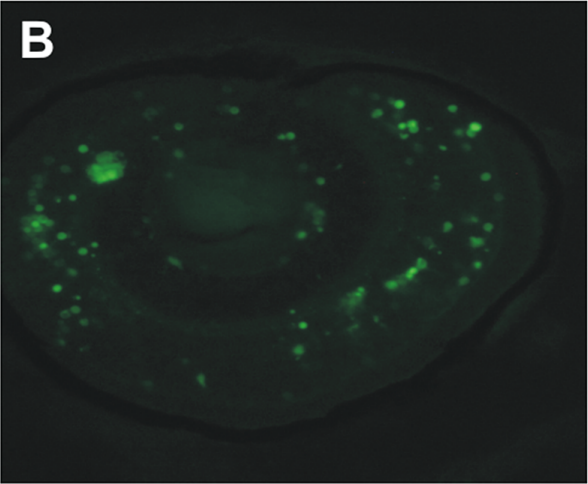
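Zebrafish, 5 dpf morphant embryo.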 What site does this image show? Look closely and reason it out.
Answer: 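A round central lens-like body. Concentric layered tissue surrounding the centre. An outer dark rim enclosing the round structure.
Hence: eye region.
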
